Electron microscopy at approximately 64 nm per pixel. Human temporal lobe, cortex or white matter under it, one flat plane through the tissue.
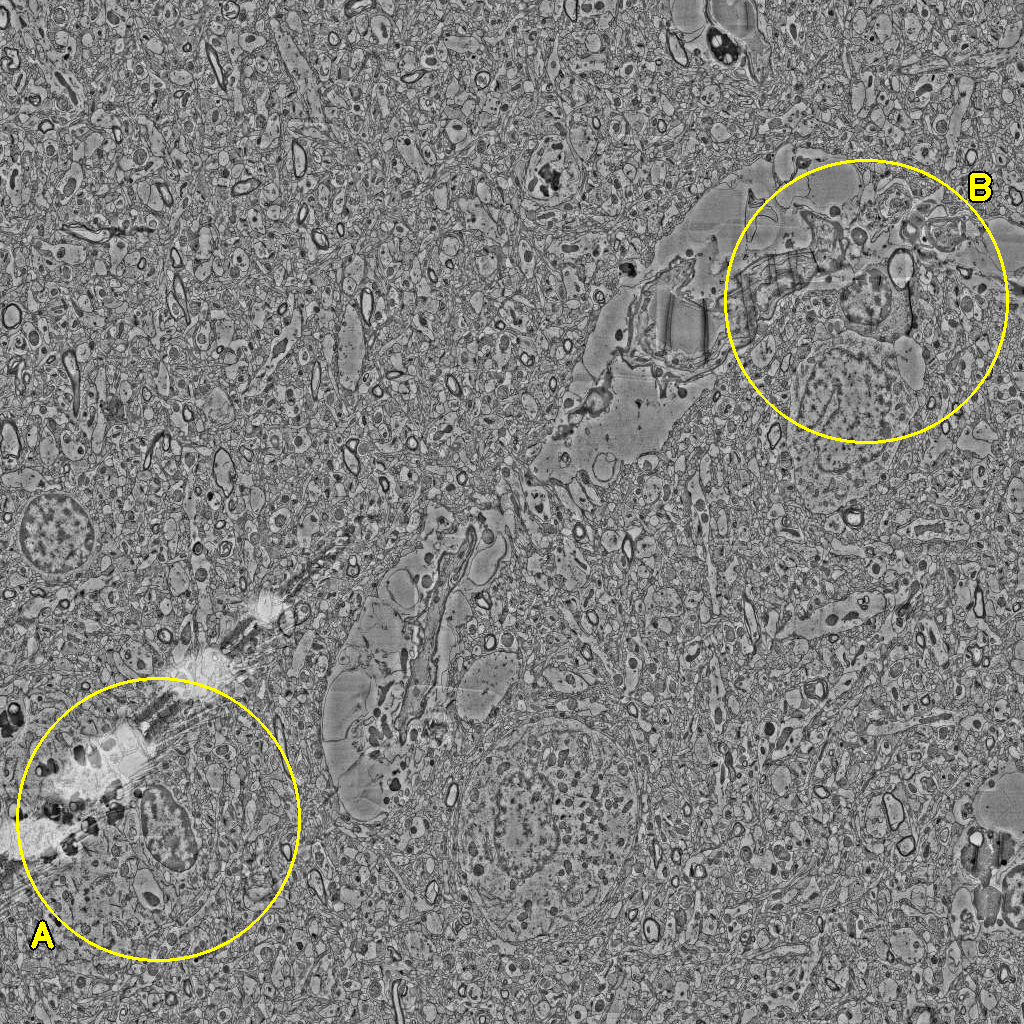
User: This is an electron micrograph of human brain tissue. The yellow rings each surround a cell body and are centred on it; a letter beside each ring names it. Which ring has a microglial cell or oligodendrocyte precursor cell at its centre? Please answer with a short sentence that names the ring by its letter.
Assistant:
Ring A has it at its centre.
